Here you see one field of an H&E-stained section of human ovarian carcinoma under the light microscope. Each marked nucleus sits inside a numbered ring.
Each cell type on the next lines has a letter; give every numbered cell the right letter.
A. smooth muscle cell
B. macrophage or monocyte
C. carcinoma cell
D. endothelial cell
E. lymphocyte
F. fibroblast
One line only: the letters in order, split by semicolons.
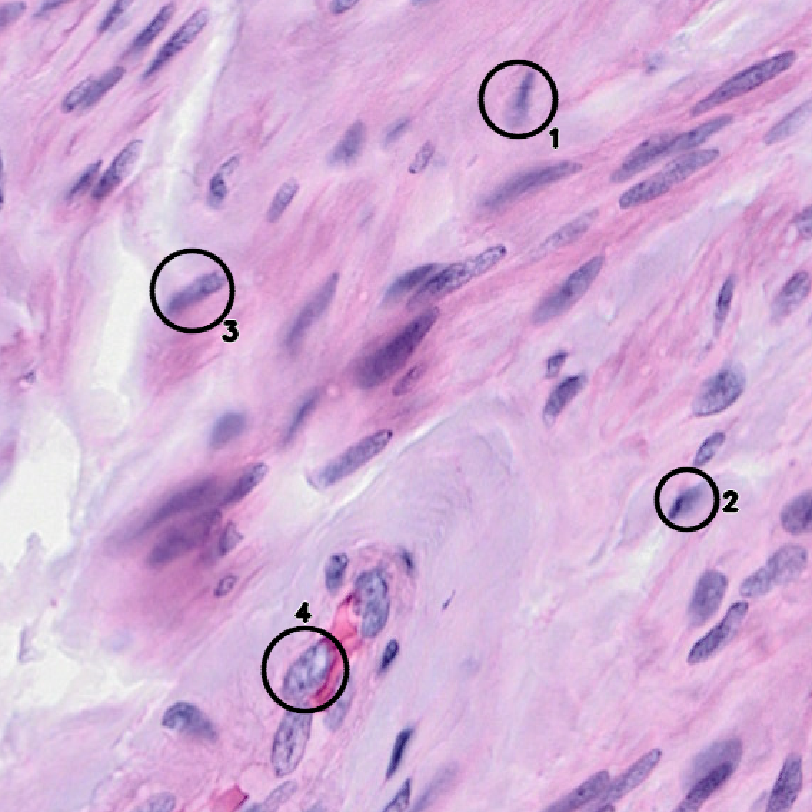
A; F; A; D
